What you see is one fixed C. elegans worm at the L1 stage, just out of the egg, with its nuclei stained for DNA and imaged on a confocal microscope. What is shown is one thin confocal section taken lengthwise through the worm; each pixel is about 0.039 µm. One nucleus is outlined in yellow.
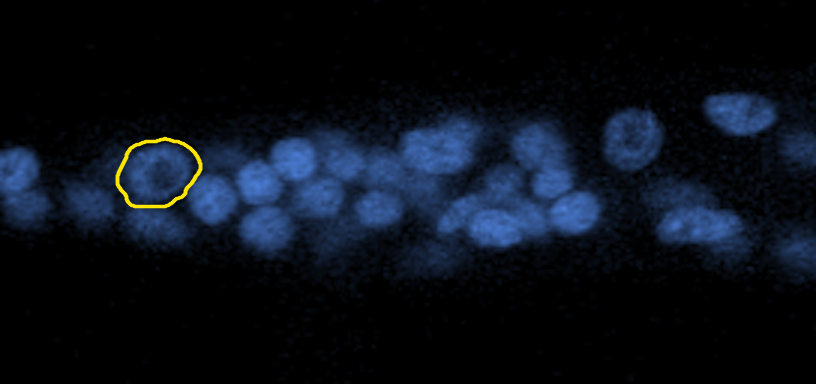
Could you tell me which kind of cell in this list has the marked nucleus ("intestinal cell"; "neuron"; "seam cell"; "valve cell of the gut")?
seam cell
